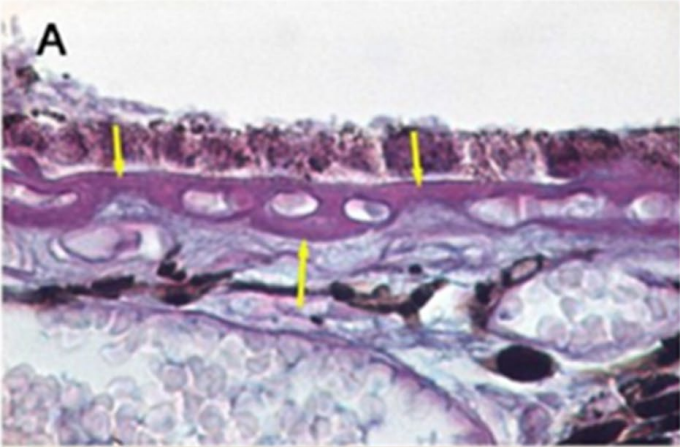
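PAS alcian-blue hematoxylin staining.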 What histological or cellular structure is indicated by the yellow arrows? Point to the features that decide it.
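The band lies directly beneath a layer of darkly pigmented epithelial cells. Rounded capillary lumens lie just beneath and against the band.
Answer: Bruch’s membrane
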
